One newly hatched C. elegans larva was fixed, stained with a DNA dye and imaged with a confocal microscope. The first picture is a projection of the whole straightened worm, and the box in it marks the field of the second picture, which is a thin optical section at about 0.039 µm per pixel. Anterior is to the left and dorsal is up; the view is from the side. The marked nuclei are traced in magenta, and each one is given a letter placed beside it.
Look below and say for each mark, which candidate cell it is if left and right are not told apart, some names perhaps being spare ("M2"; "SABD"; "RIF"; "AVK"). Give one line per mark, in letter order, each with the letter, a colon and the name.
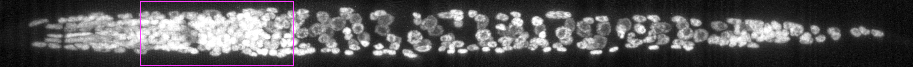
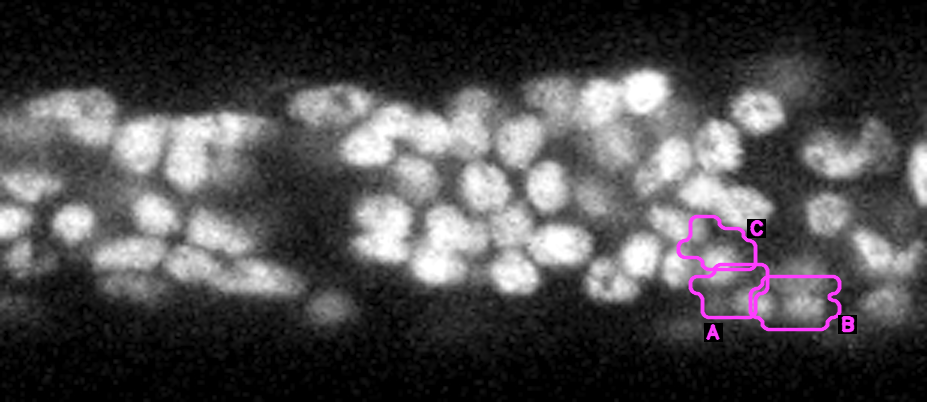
A: RIF
B: SABD
C: AVK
